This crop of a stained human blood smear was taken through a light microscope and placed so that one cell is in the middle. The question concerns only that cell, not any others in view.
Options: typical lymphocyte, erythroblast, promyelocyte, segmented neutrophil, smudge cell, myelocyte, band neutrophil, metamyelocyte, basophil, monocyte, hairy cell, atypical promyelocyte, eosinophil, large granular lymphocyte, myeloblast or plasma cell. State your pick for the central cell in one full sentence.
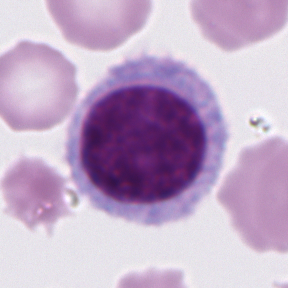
In this crop, the cell at the very middle is a hairy cell.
